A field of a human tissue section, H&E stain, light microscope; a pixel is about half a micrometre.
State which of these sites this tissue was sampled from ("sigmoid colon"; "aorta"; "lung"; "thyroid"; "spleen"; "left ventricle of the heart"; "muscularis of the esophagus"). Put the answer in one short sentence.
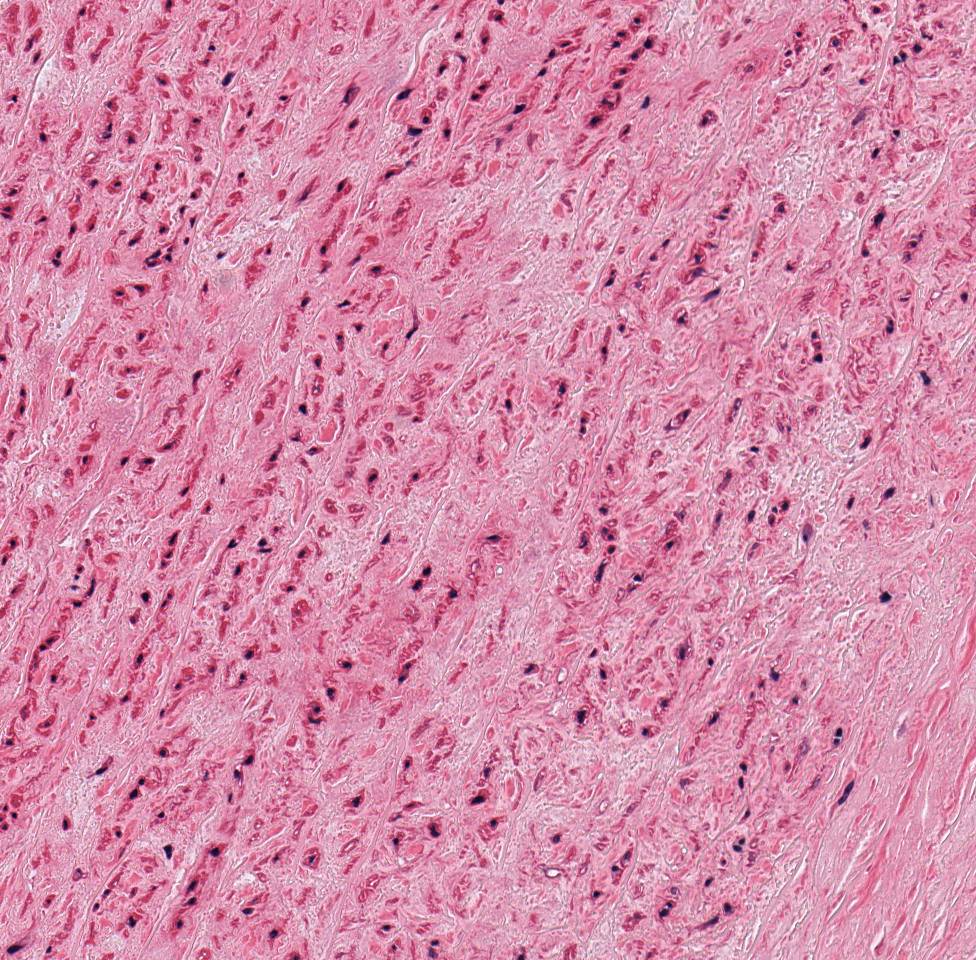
The site this tissue was sampled from is the aorta.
